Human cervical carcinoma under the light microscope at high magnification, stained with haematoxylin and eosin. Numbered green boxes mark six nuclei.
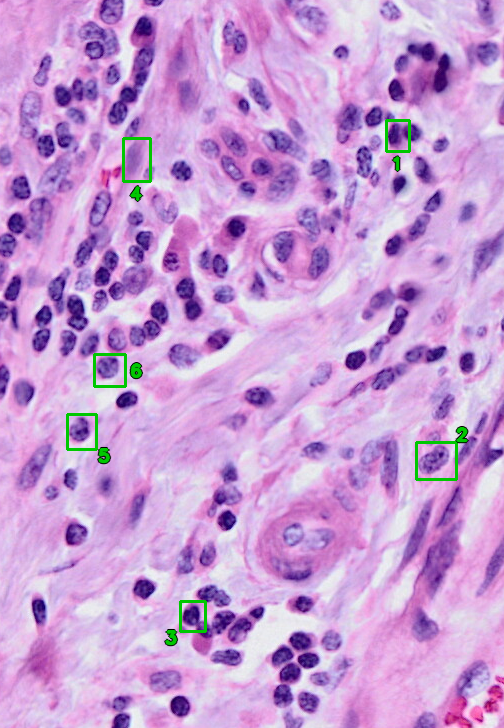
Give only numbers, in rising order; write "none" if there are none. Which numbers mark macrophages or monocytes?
2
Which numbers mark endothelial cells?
4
